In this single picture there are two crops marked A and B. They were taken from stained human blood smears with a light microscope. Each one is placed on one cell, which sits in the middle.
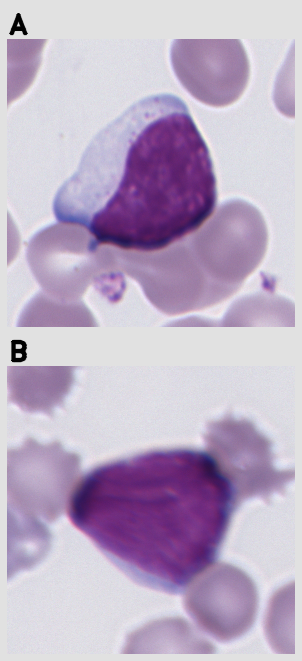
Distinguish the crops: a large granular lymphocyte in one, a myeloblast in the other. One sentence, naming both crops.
The designated cell in crop A is a large granular lymphocyte, and the designated cell in crop B is a myeloblast.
